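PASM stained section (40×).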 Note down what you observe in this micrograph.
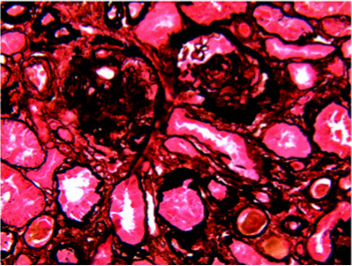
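This is renal cortex with two glomeruli among tubules, showing glomerulosclerosis. The glomeruli are dark and compact, their tufts filled with dense black-brown matrix and few open capillary loops. The tubules around them are pink-red, some with thick dark-outlined walls and some containing dense casts in their lumina. Dark fibrous-looking tissue lies between the tubules and around the glomeruli. Compared with normal cortex, the glomerular architecture is largely effaced.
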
